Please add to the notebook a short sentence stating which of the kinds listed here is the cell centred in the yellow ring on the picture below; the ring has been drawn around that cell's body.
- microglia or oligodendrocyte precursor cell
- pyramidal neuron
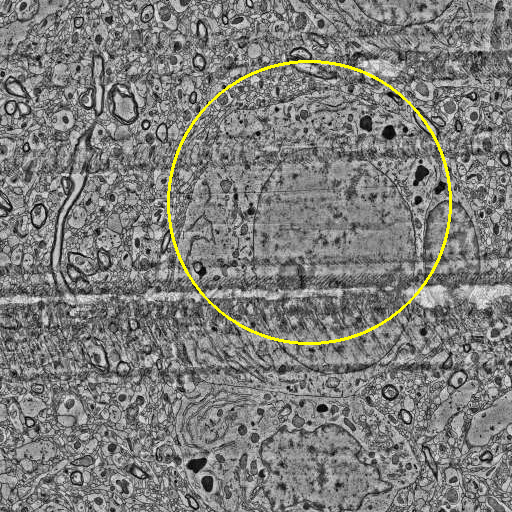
The cell centred in the yellow ring is a pyramidal neuron.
